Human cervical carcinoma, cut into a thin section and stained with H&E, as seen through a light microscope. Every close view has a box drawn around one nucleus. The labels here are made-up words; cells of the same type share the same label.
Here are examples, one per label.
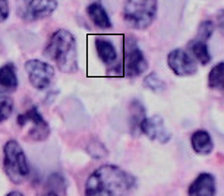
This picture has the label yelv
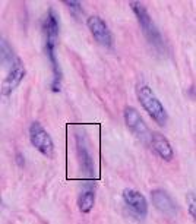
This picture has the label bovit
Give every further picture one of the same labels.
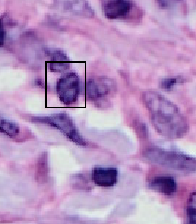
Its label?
yelv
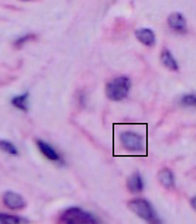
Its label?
bovit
